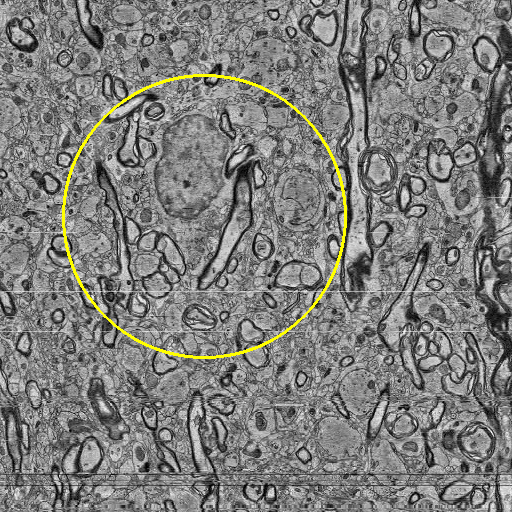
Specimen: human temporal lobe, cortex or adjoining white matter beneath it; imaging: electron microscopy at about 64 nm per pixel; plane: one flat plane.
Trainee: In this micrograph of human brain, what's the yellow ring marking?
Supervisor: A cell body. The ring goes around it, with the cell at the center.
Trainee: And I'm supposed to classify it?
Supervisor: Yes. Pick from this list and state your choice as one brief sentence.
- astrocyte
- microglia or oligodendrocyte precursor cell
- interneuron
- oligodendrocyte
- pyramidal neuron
The cell at the ring's center is an oligodendrocyte.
